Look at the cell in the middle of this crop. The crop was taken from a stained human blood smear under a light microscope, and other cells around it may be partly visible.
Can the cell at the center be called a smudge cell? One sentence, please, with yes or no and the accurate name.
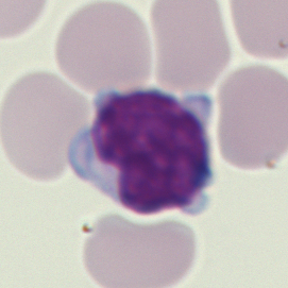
No, the cell of interest here is a typical lymphocyte and not a smudge cell.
